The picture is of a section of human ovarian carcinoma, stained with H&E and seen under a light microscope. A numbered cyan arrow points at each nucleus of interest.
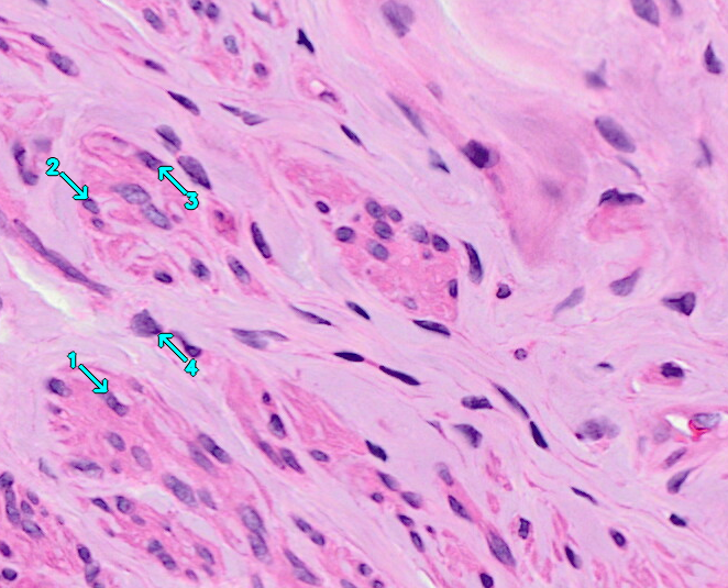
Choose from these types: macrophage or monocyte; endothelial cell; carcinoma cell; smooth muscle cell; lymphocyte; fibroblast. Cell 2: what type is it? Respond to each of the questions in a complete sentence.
The cell numbered 2 represents a smooth muscle cell.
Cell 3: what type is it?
The cell indicated by marker 3 is a smooth muscle cell in this section.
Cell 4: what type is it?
The marked cell with the number 4 is recognised as a fibroblast.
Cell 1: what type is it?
The cell identified by the number 1 is a smooth muscle cell.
